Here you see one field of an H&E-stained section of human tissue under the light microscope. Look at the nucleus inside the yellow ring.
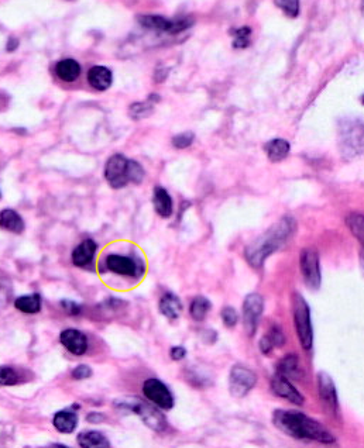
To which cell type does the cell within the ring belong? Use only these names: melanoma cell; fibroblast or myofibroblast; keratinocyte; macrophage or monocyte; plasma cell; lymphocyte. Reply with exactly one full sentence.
It is a plasma cell that the cell within the ring represents.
